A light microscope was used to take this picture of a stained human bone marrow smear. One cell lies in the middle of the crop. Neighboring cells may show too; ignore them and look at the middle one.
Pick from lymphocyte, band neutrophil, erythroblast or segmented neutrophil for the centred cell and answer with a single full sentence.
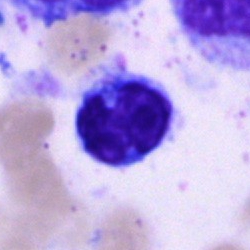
The cell marked by its central position in the crop is a lymphocyte.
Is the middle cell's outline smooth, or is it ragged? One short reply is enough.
Its outline is smooth, with no projections anywhere along the edge.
